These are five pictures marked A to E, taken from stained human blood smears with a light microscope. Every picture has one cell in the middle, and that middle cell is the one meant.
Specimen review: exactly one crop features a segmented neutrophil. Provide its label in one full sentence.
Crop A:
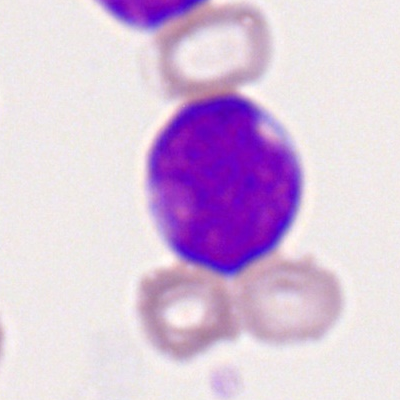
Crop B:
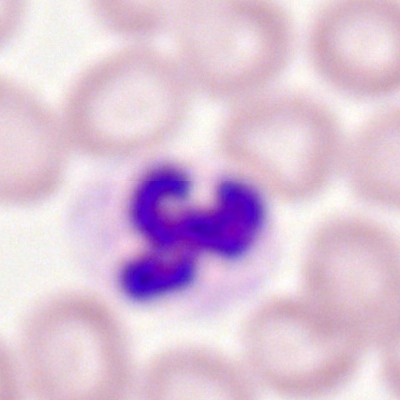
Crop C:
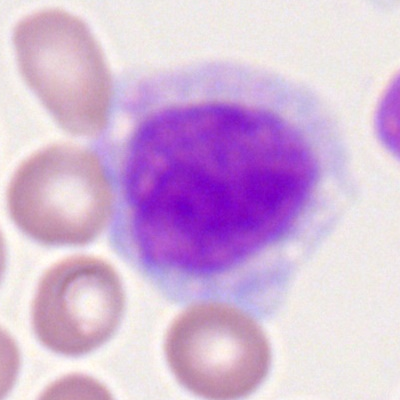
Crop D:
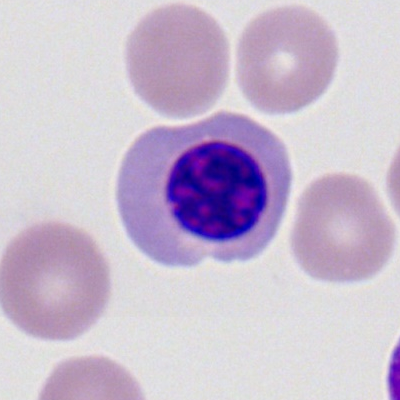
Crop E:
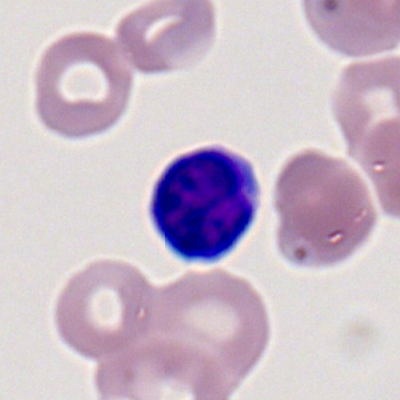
It is in crop B, among all the crops, that a segmented neutrophil is present.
